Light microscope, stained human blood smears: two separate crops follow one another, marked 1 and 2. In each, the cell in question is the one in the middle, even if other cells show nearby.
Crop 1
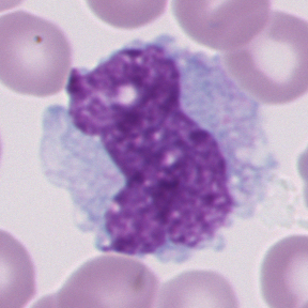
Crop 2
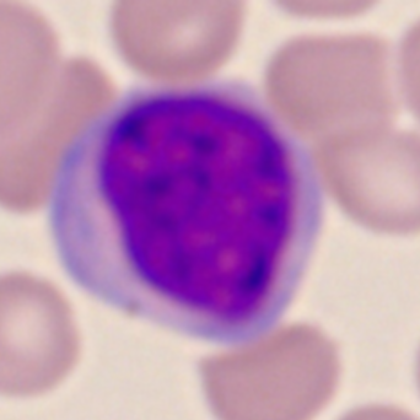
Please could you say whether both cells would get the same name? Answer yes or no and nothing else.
yes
